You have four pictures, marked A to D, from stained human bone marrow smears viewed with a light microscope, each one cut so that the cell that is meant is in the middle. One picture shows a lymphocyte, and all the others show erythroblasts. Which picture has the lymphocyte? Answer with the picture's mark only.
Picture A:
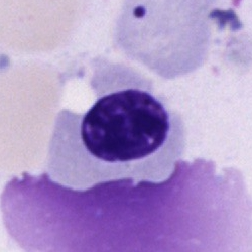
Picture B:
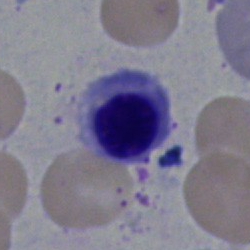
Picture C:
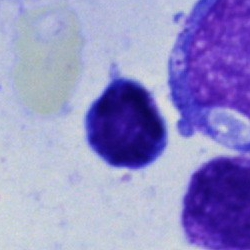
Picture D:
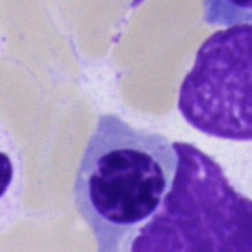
C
